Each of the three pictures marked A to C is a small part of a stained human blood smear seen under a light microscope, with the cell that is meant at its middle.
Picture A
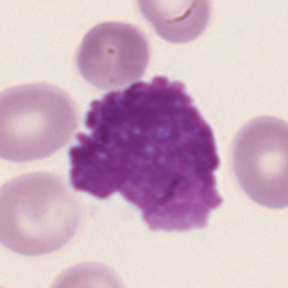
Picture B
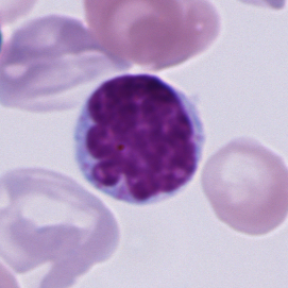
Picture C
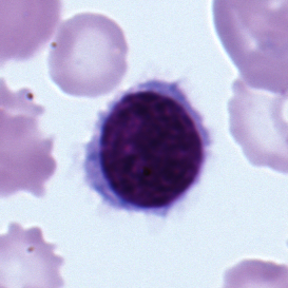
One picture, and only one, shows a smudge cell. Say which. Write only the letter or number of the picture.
A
